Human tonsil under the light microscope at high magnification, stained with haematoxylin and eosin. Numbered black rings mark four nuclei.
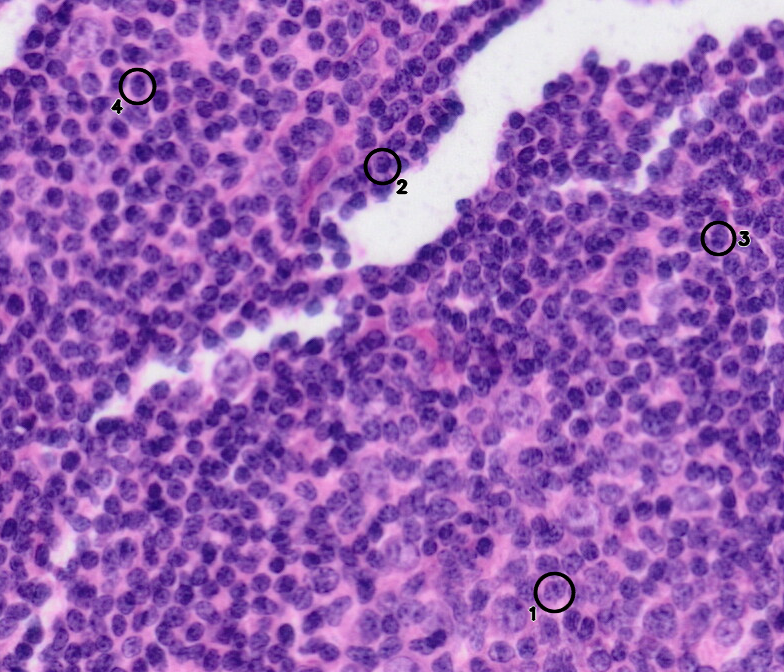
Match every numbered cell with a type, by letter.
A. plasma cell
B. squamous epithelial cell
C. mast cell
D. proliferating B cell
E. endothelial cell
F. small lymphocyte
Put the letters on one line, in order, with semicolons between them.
D; F; F; F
